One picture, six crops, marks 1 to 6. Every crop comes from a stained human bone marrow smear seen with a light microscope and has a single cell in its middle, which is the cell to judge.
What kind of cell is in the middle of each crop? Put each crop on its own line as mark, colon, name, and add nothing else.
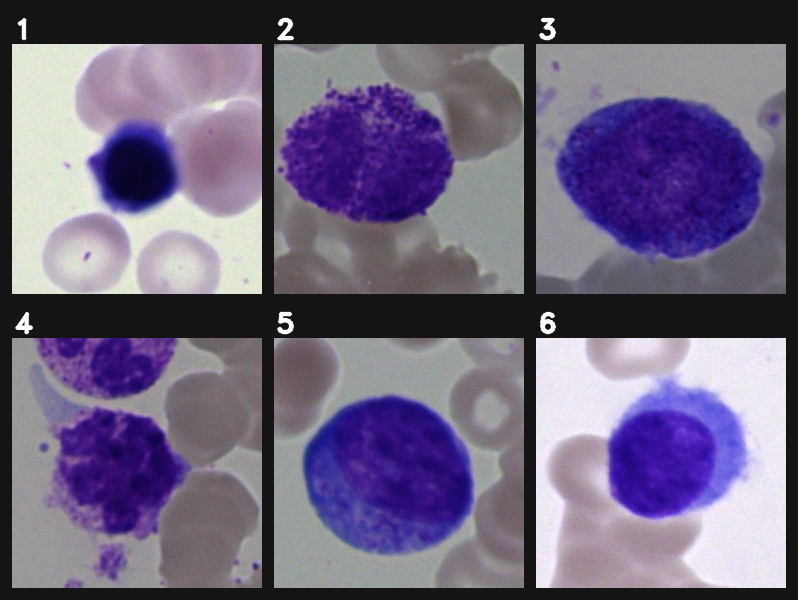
1: normoblast
2: basophil
3: promyelocyte
4: basophil
5: promyelocyte
6: hairy cell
